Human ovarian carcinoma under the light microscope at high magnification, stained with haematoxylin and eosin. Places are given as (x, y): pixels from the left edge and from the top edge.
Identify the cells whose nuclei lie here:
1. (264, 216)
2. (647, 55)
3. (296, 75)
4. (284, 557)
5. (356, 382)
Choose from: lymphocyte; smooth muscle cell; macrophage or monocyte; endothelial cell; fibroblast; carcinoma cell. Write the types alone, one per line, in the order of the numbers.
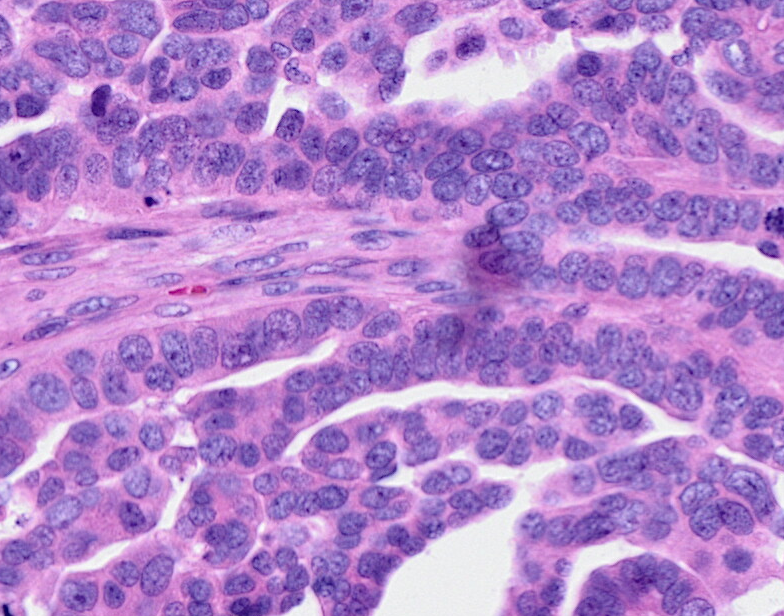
fibroblast
carcinoma cell
macrophage or monocyte
carcinoma cell
carcinoma cell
